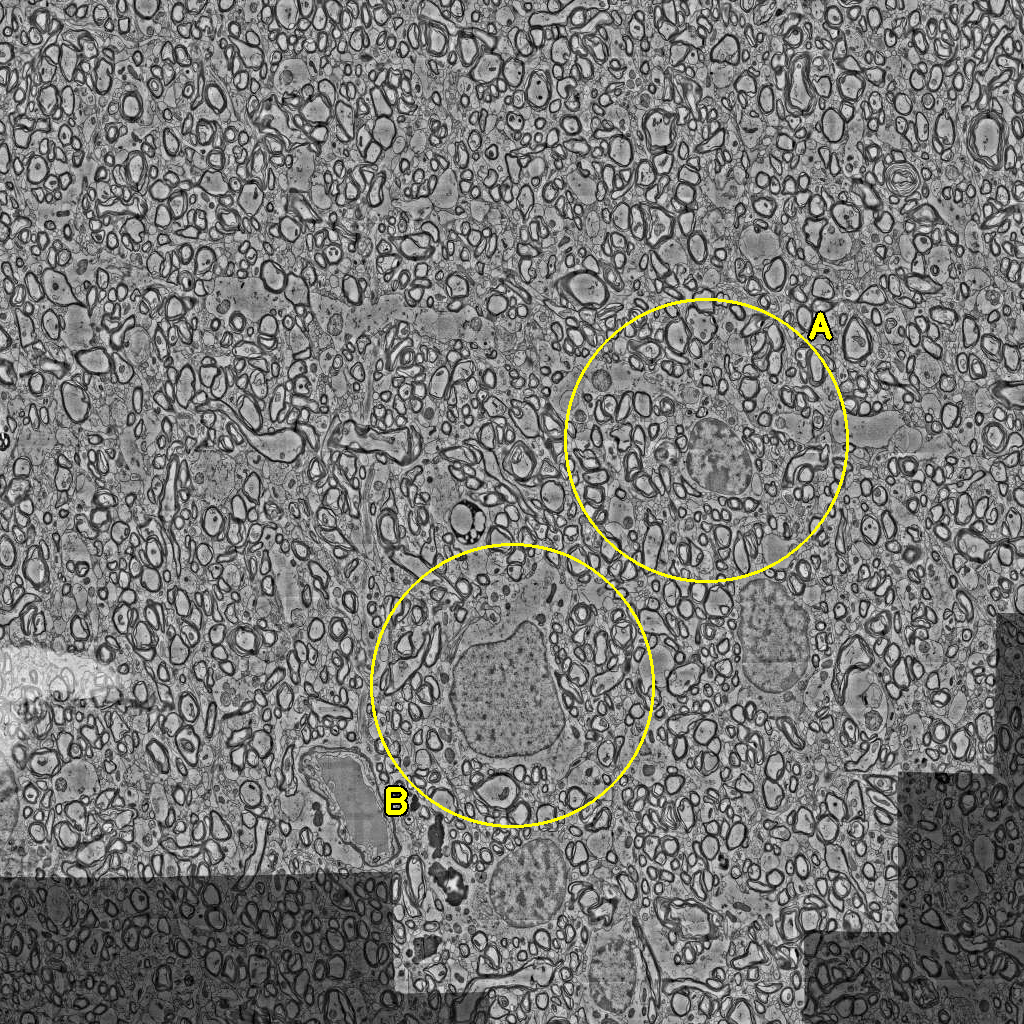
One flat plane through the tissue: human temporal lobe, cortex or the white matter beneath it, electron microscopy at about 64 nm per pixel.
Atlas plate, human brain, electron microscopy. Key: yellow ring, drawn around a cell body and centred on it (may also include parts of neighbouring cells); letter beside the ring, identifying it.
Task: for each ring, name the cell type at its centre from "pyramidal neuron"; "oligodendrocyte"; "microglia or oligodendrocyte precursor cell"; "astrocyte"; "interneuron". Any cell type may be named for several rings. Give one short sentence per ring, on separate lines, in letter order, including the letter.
Ring A is centred over a microglial cell or oligodendrocyte precursor cell.
Ring B is centred over an astrocyte.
